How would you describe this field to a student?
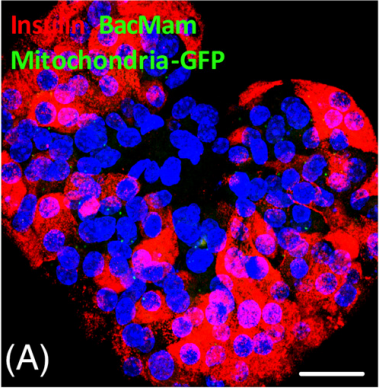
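This is a compact, rounded cluster of islet cells, most of them β-cells with brightly red-stained cytoplasm. The red staining fills the cytoplasm around the nuclei and is granular in texture. Only a few tiny green dots are scattered among the cells.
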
